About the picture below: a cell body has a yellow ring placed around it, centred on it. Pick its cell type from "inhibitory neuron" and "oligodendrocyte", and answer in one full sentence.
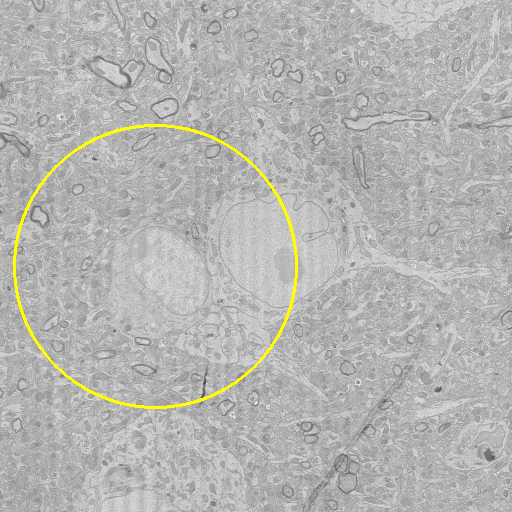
In the picture, an oligodendrocyte is the cell sitting at the centre of the yellow ring.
